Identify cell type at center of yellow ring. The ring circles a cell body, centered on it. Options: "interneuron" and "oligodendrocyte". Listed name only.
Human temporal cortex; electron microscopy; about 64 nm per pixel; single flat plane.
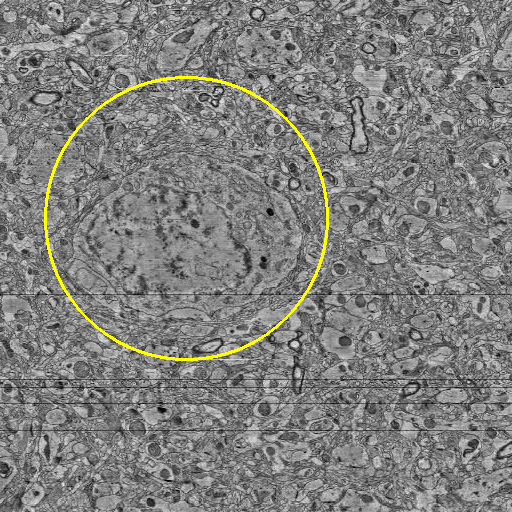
interneuron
